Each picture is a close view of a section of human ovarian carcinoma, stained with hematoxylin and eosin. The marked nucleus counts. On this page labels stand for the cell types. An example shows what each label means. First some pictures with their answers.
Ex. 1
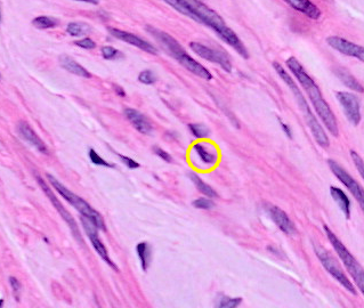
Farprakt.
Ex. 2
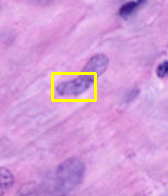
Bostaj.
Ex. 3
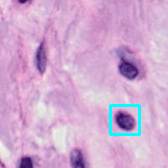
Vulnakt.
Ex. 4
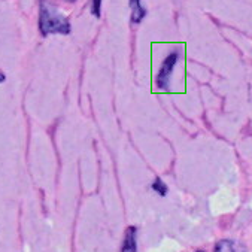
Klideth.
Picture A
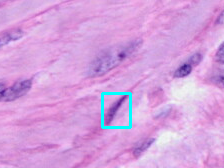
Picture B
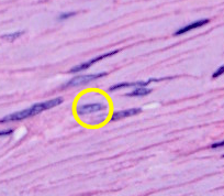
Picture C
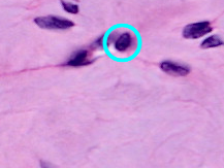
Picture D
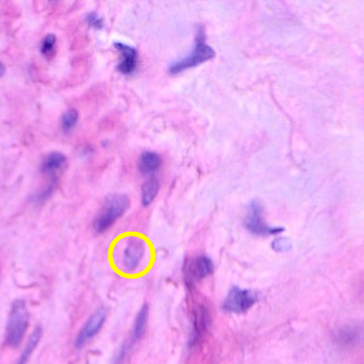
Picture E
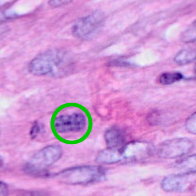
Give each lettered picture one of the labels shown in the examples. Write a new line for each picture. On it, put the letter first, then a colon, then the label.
A: Klideth.
B: Klideth.
C: Vulnakt.
D: Farprakt.
E: Bostaj.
